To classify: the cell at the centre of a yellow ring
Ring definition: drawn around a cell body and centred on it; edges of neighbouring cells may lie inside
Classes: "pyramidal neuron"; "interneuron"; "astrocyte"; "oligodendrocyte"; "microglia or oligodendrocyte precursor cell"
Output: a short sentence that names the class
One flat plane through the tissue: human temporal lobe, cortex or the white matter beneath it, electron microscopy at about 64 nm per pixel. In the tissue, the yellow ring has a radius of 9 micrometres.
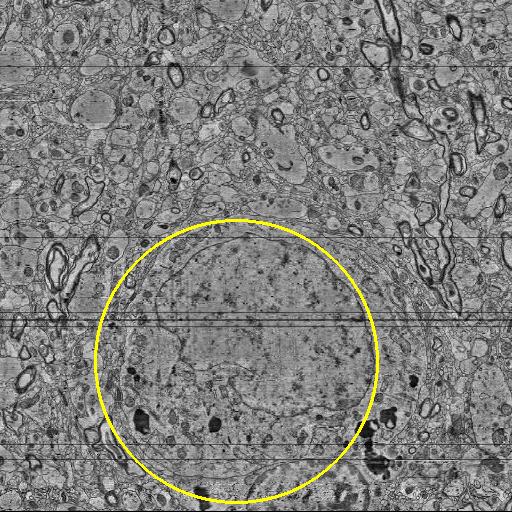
The ringed cell is a pyramidal neuron.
